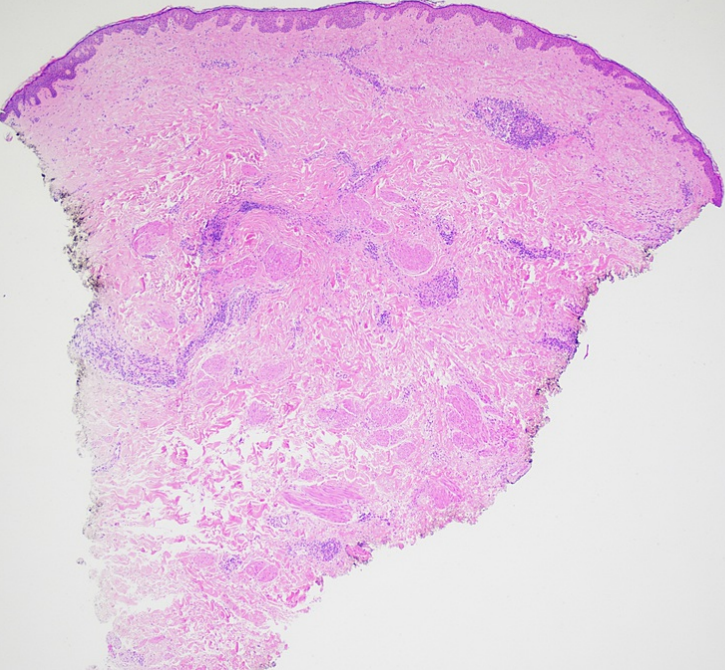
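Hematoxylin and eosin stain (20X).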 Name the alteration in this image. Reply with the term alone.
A: perivascular inflammatory infiltrate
